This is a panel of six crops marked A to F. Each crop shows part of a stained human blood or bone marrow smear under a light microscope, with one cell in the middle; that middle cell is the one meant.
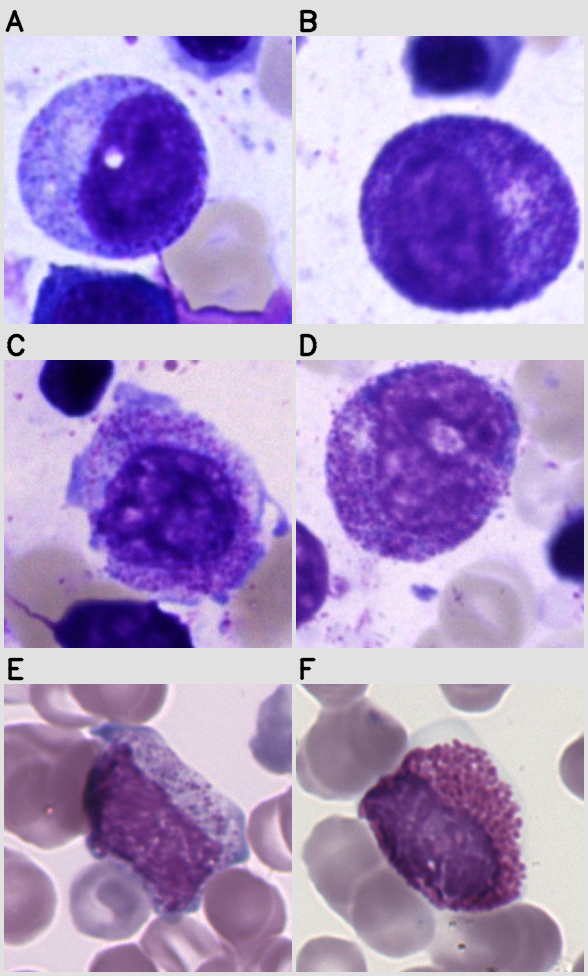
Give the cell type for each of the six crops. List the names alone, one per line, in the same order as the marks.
promyelocyte
promyelocyte
promyelocyte
promyelocyte
promyelocyte
eosinophil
